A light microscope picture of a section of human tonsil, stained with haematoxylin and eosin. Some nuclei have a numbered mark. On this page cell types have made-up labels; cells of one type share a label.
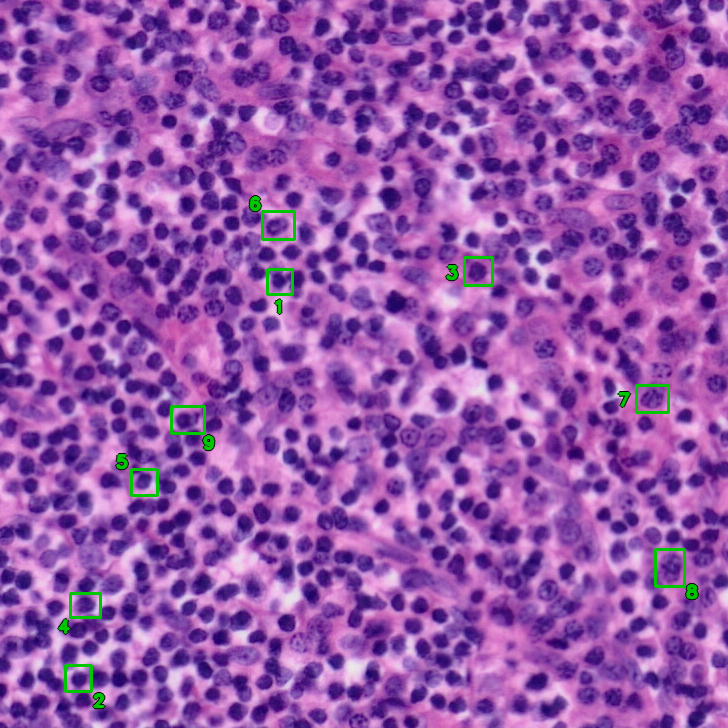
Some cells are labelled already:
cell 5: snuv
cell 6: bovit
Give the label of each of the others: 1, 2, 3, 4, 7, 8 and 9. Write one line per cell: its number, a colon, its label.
1: snuv
2: snuv
3: bovit
4: snuv
7: bovit
8: bovit
9: snuv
